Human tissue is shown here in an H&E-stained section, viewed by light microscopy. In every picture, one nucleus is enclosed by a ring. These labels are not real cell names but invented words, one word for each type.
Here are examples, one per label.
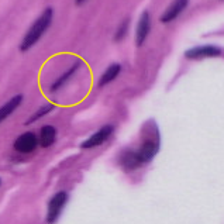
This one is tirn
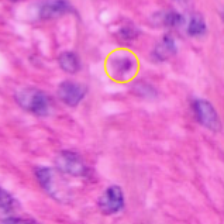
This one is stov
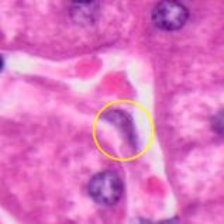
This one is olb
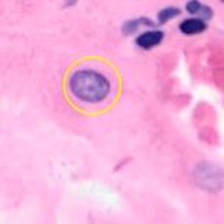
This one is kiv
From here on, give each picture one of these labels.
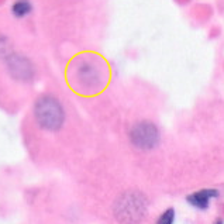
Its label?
kiv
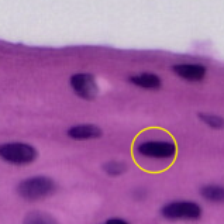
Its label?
tirn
